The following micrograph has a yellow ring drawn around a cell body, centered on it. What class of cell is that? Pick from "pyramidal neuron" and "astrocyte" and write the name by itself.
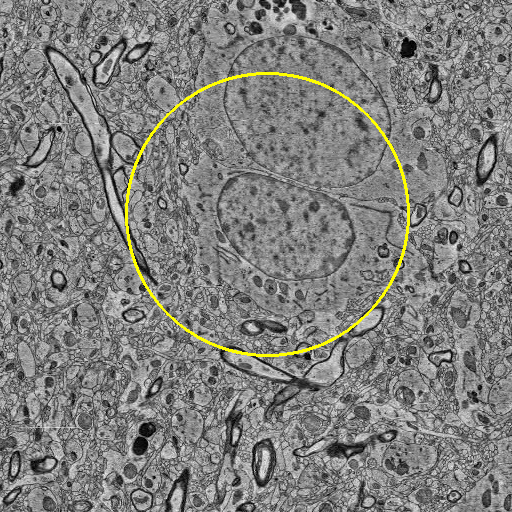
astrocyte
